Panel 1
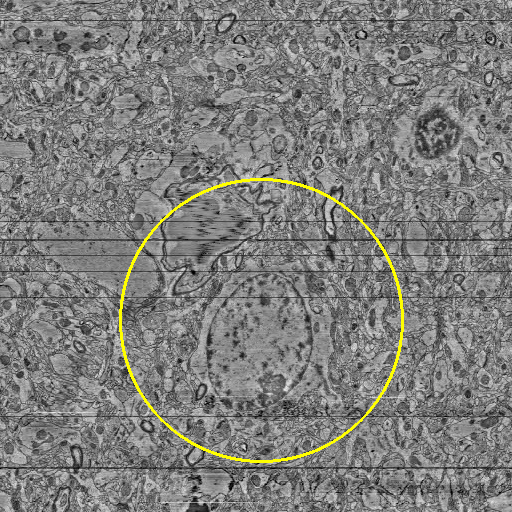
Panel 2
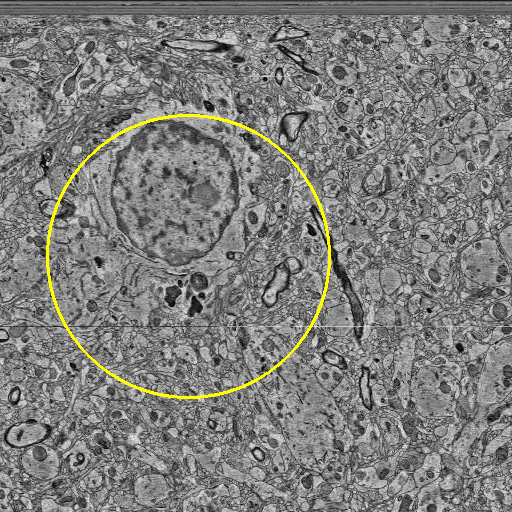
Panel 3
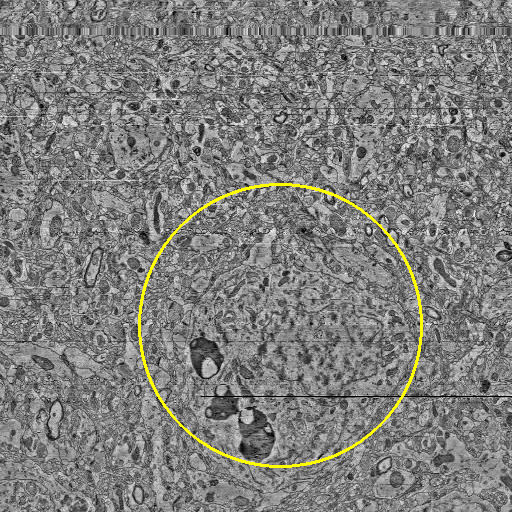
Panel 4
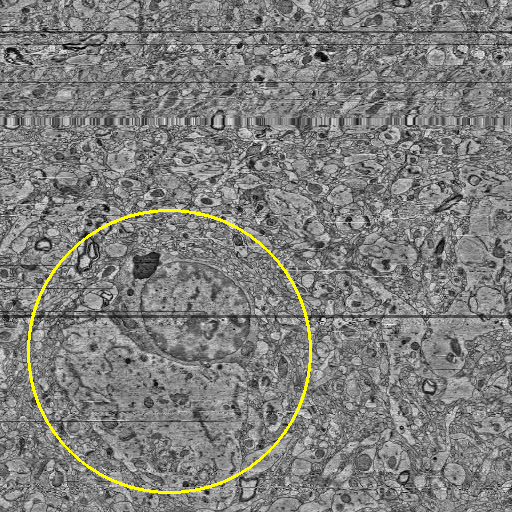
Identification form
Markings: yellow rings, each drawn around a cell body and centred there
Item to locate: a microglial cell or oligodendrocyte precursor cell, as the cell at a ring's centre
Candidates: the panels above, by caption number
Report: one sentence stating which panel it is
It is Panel 2.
